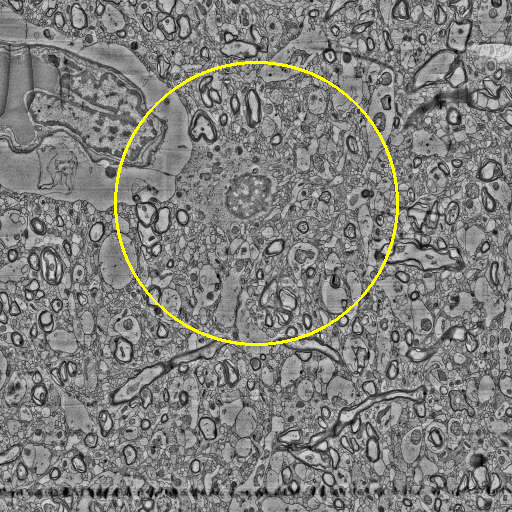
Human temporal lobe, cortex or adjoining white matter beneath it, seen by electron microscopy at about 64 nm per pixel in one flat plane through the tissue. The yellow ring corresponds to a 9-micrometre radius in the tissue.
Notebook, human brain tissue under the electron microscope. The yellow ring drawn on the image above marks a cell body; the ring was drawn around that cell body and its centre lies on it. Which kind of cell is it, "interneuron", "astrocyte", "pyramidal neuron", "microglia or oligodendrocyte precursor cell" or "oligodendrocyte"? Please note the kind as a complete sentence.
The marked cell body is that of an oligodendrocyte.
